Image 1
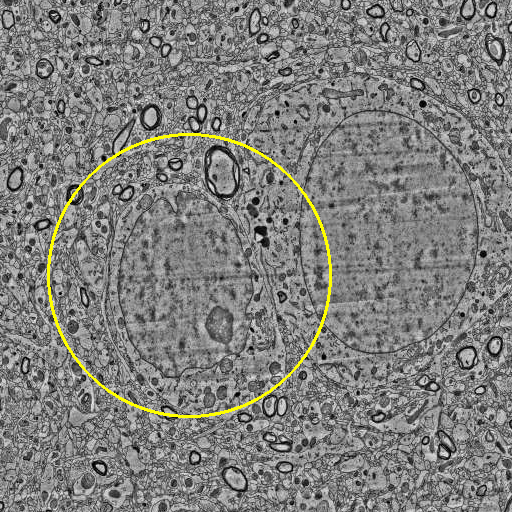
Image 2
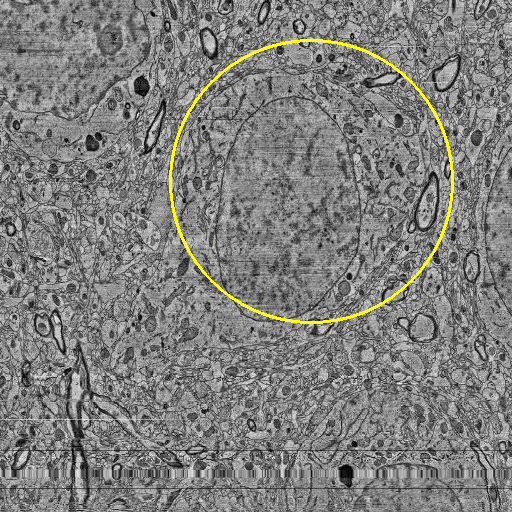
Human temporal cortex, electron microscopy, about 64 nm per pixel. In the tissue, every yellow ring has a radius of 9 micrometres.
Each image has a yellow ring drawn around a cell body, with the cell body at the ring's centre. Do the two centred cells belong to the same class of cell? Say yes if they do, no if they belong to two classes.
yes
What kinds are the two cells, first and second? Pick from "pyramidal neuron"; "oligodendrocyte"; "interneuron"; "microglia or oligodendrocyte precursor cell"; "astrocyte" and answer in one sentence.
The ring centre holds a pyramidal neuron in each of the two pictures.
